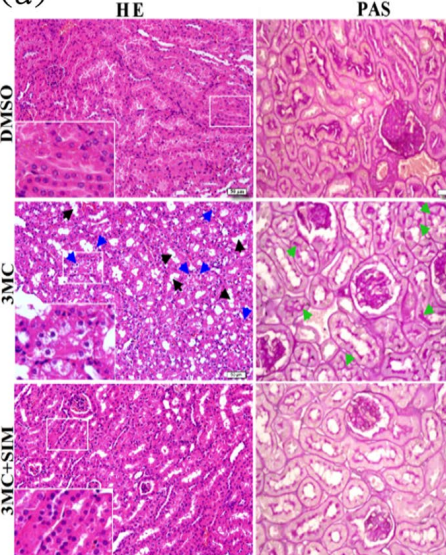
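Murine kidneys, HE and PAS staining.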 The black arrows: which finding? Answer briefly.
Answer: Tubular dilation and epithelial flattening.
